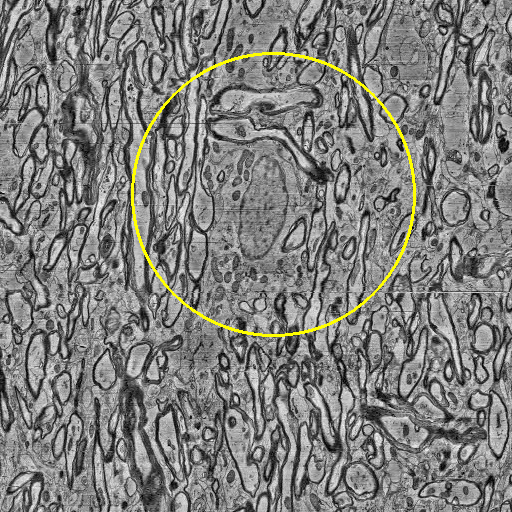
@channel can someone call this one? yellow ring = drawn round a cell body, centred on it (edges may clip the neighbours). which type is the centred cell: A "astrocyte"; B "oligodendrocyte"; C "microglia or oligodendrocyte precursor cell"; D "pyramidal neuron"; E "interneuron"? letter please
A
